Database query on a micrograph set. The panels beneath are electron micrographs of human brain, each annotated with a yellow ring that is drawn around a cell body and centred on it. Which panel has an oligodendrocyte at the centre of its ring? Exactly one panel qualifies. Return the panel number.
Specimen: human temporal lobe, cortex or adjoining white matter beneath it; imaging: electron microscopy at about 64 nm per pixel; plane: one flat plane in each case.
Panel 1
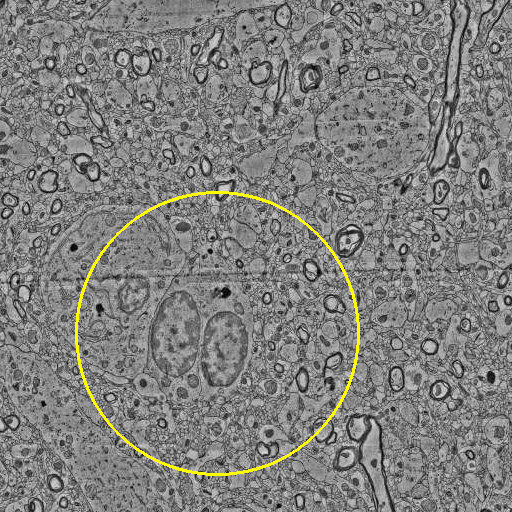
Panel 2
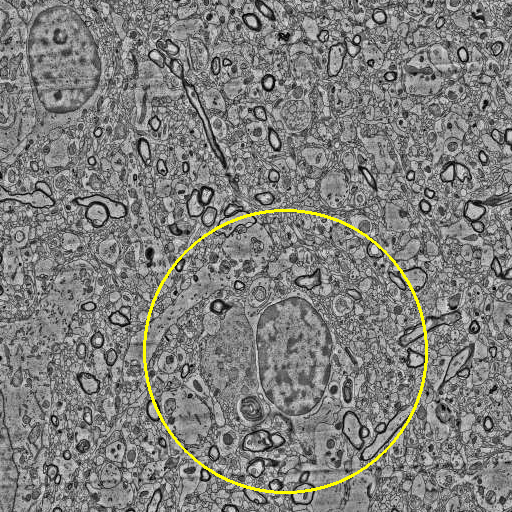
1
